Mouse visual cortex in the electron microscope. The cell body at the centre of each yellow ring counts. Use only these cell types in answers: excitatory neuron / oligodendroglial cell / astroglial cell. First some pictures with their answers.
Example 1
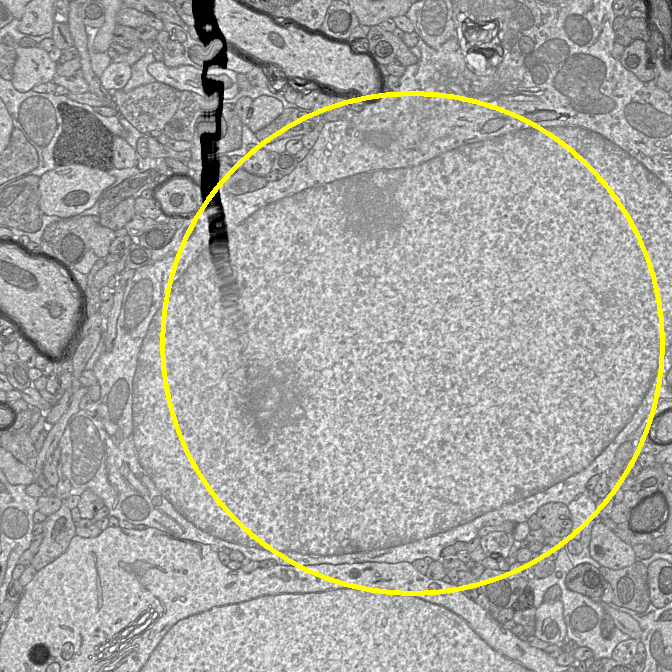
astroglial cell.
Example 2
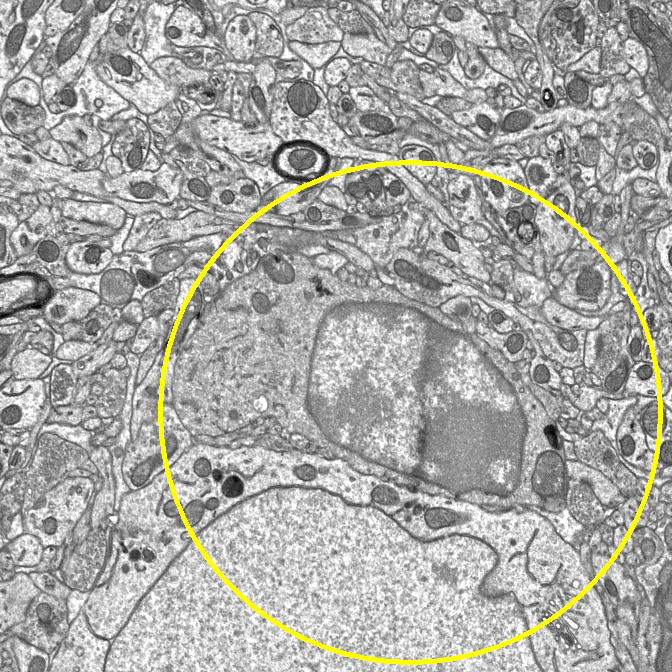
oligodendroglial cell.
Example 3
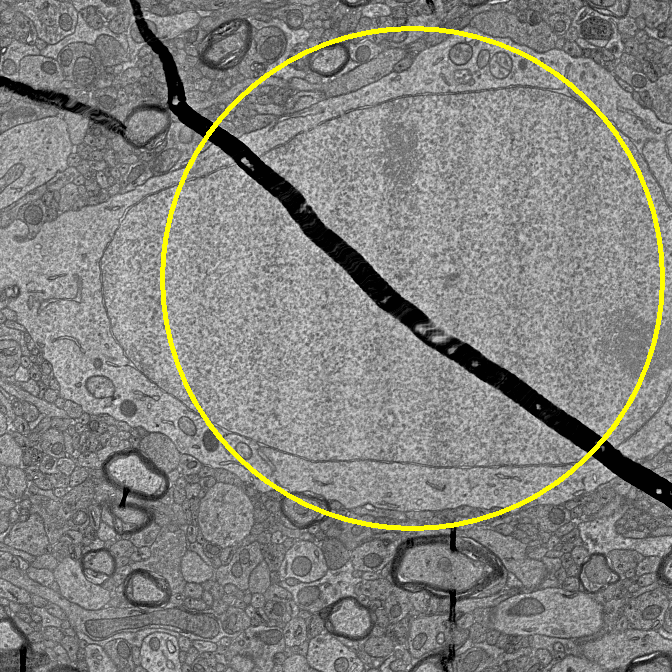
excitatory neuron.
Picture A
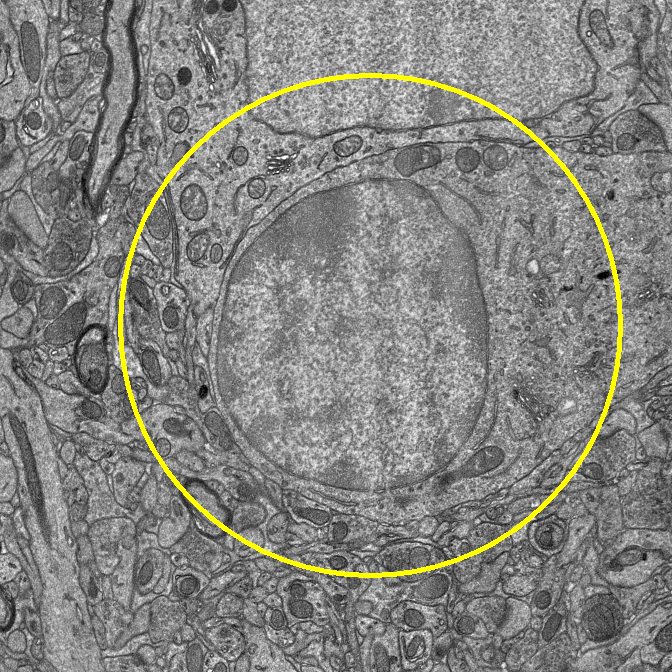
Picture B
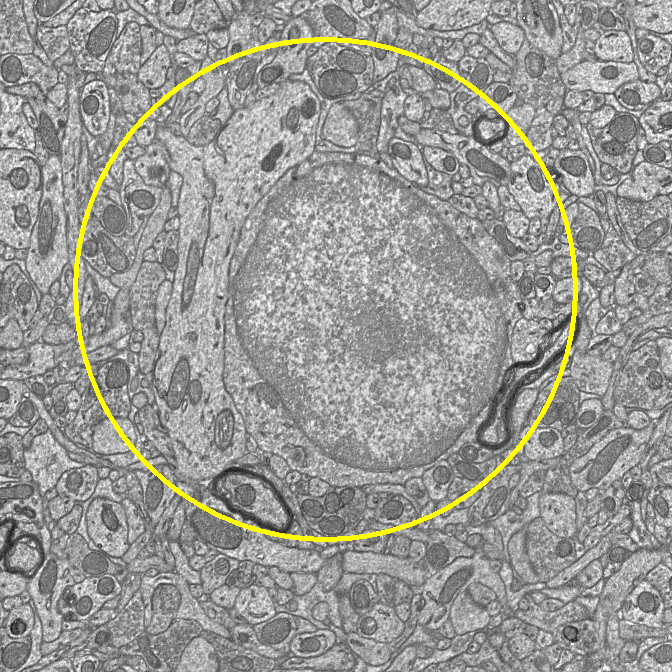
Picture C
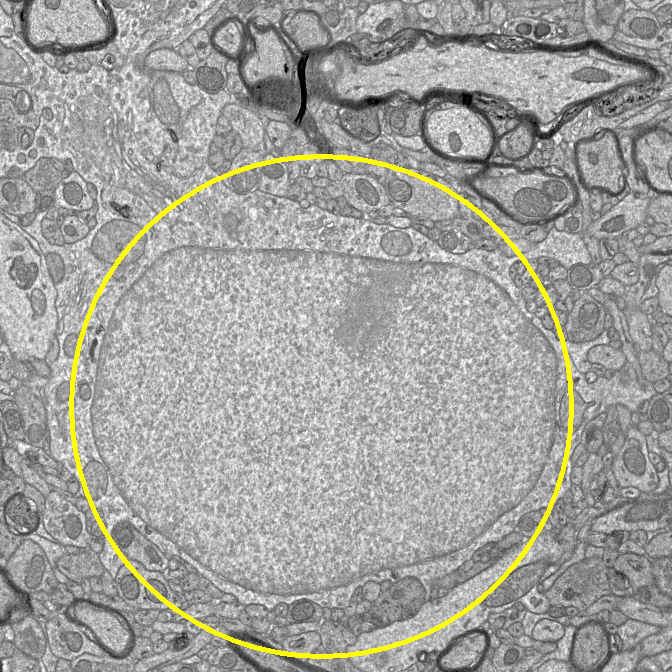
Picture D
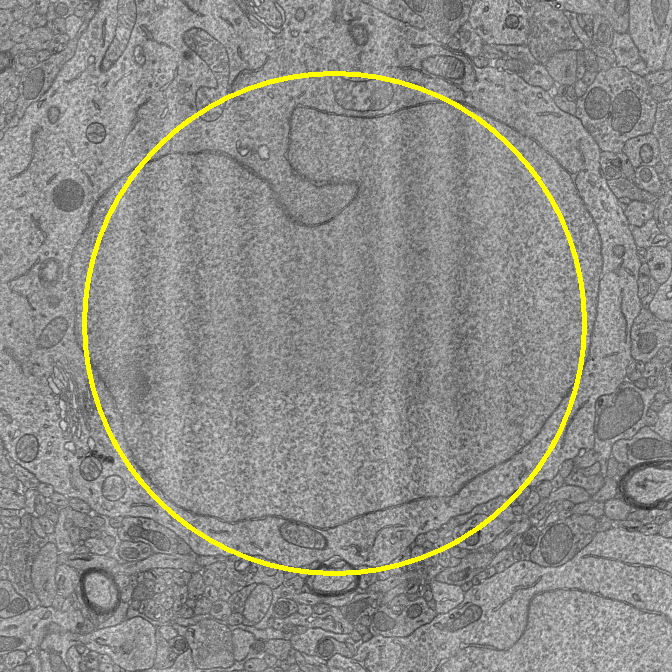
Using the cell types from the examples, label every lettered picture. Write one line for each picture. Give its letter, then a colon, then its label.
A: oligodendroglial cell.
B: oligodendroglial cell.
C: astroglial cell.
D: excitatory neuron.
